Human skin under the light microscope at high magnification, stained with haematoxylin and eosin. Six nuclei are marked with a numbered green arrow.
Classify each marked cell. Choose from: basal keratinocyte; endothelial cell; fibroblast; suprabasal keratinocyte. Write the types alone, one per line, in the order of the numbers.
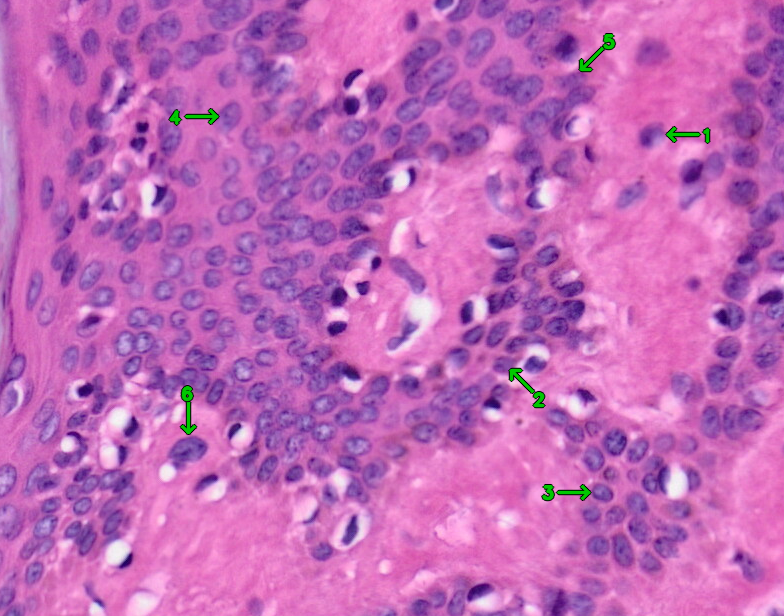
fibroblast
basal keratinocyte
basal keratinocyte
suprabasal keratinocyte
basal keratinocyte
fibroblast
